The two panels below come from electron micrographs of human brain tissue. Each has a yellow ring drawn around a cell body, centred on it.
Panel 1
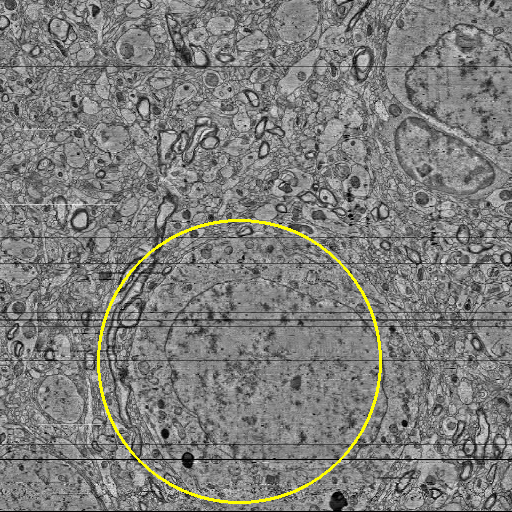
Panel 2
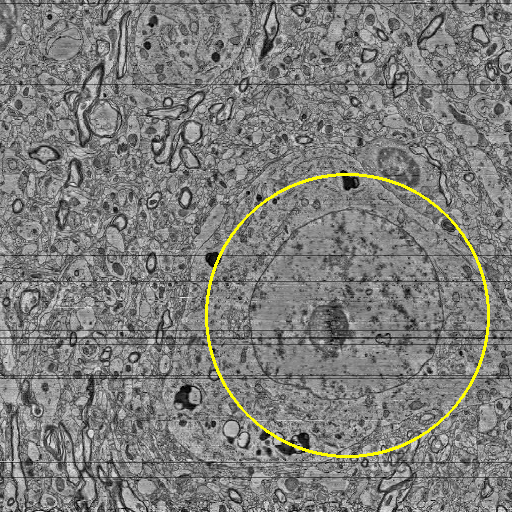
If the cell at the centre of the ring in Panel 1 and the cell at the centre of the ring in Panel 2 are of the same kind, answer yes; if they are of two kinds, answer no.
yes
